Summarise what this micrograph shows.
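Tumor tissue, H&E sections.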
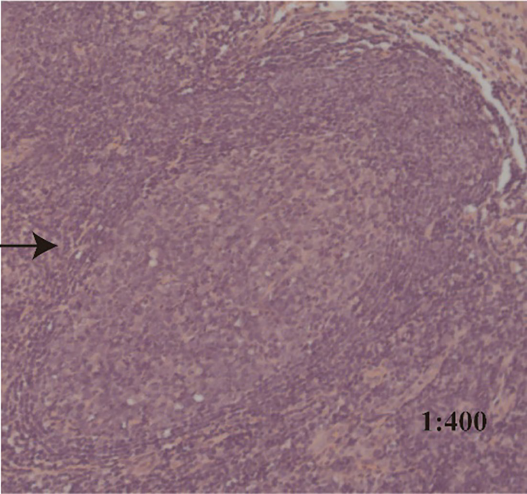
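A large rounded nodule of lymphocytes fills most of the field, bounded by a dense rim of small dark-nucleated cells. The centre of the nodule is paler, with cells more loosely arranged and slightly larger nuclei than those of the rim. A thin clear cleft curves along the upper right border of the nodule. Outside the nodule, lymphocytes continue in a diffuse sheet.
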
